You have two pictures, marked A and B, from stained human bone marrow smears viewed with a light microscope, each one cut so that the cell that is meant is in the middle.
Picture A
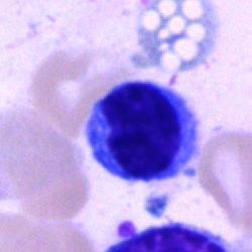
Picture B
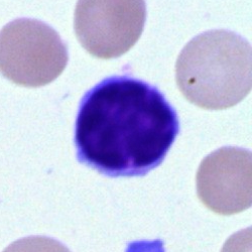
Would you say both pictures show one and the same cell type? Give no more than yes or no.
yes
